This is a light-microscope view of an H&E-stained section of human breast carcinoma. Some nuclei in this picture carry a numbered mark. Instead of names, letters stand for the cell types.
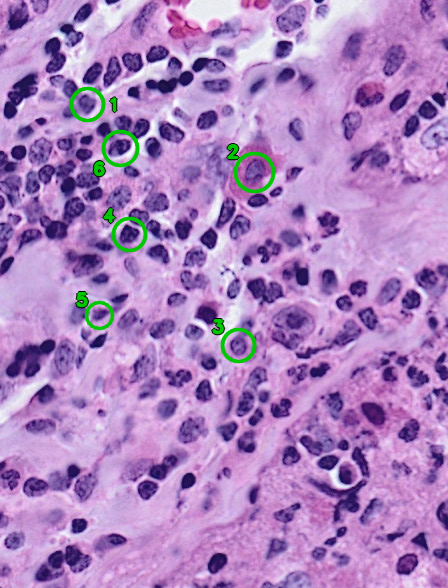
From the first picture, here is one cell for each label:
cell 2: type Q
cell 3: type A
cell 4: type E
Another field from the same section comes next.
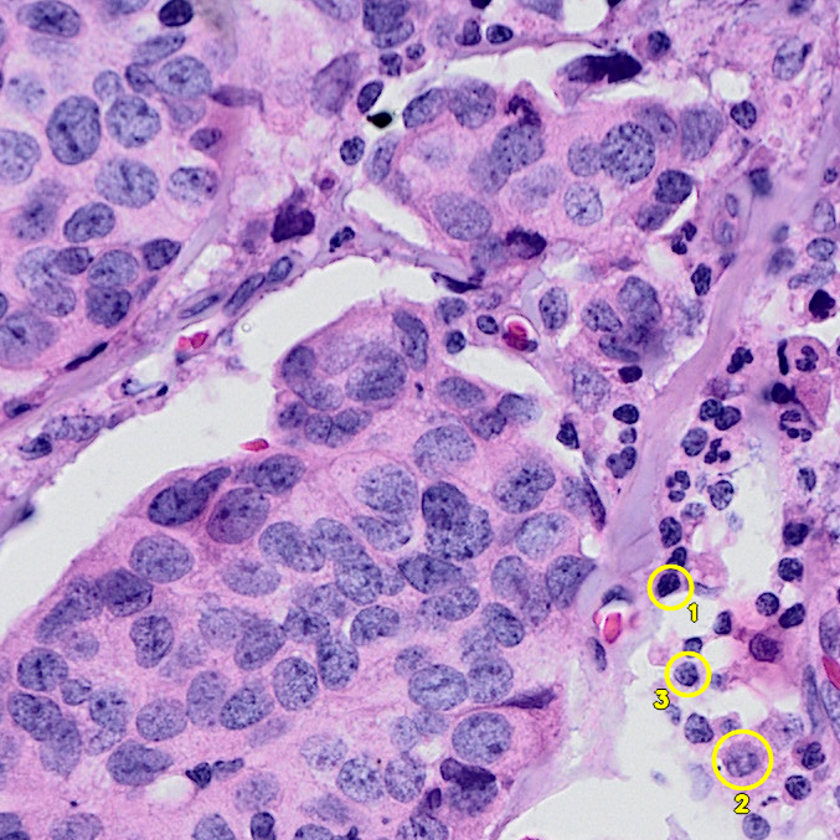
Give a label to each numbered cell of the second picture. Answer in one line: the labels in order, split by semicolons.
type E; type A; type E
